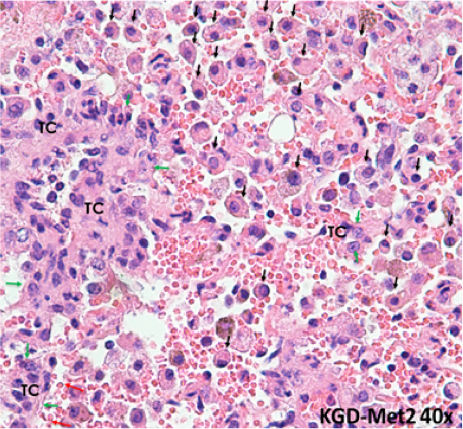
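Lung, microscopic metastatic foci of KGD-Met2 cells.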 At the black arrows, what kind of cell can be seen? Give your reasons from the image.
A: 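The arrowed cells are single, rounded cells scattered among many small red-stained discs. They have a round to kidney-shaped nucleus and a rim of pale pink cytoplasm. Several cells nearby hold brown granular material in their cytoplasm.
Hence: monocytes and macrophages.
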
